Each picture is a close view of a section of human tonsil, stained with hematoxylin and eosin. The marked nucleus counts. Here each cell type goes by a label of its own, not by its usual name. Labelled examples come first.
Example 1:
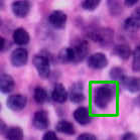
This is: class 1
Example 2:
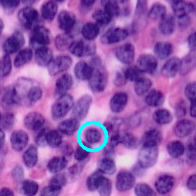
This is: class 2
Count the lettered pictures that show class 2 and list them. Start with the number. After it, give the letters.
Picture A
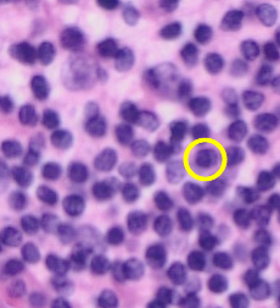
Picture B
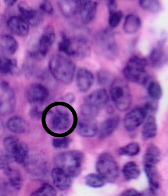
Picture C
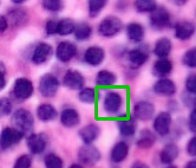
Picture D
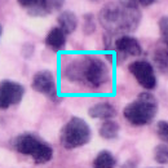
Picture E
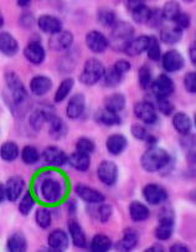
3: A, C, E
